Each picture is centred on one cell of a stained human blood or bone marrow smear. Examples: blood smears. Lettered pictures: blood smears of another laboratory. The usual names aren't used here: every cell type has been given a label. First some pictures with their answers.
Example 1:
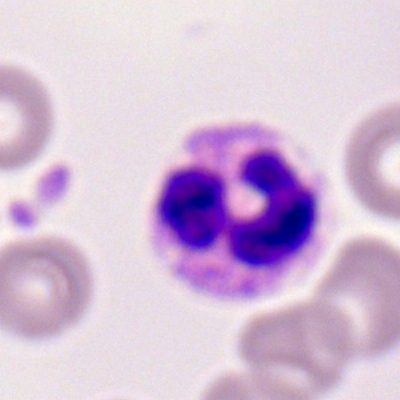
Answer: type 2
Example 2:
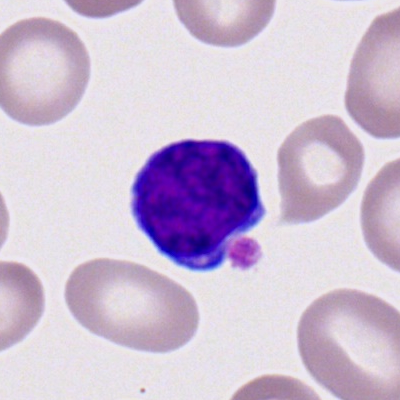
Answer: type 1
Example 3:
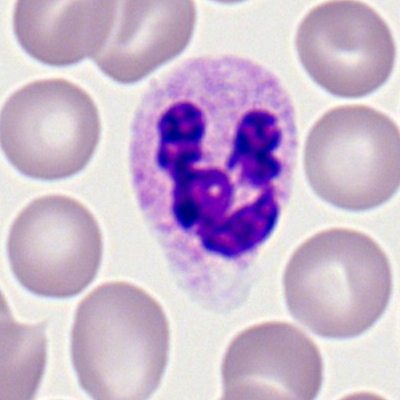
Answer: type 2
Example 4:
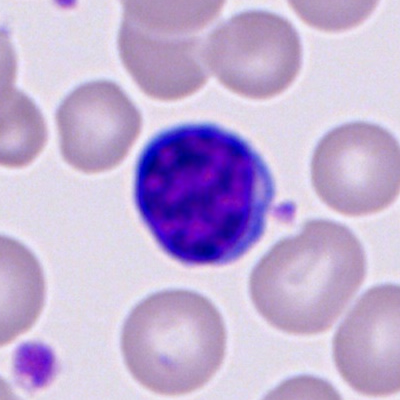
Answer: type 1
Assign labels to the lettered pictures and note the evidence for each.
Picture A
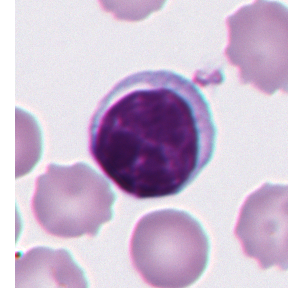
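Label: type 1. The cytoplasm forms a narrow rim that is widest on the upper right side.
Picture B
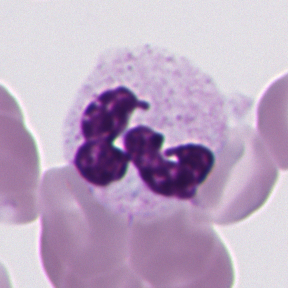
Label: type 2. The cytoplasm is abundant and pale pinkish.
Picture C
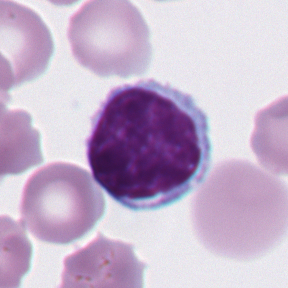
Label: type 1. The cytoplasm forms only a thin rim around the nucleus.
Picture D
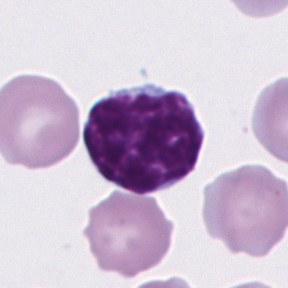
Label: type 1. The cytoplasm shows only as a thin pale bluish rim along the top edge.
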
